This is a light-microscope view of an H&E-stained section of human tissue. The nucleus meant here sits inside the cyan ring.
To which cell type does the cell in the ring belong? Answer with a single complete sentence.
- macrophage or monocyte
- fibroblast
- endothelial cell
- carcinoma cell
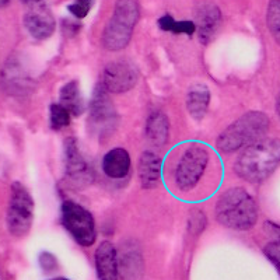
As for its identity, the cell in the ring is a carcinoma cell.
